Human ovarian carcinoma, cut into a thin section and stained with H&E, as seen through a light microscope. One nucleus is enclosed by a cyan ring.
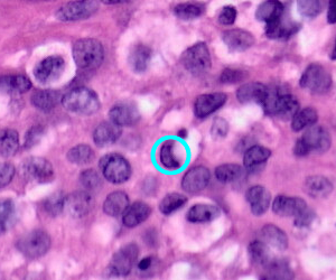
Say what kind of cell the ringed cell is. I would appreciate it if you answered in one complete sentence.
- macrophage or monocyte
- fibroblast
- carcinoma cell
The cell type represented by the ringed cell is that of a macrophage or monocyte.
